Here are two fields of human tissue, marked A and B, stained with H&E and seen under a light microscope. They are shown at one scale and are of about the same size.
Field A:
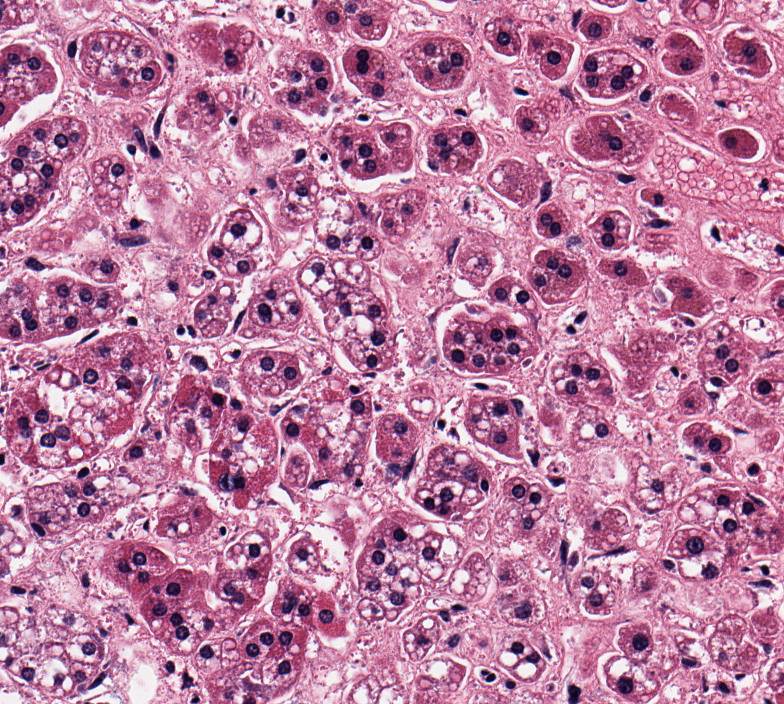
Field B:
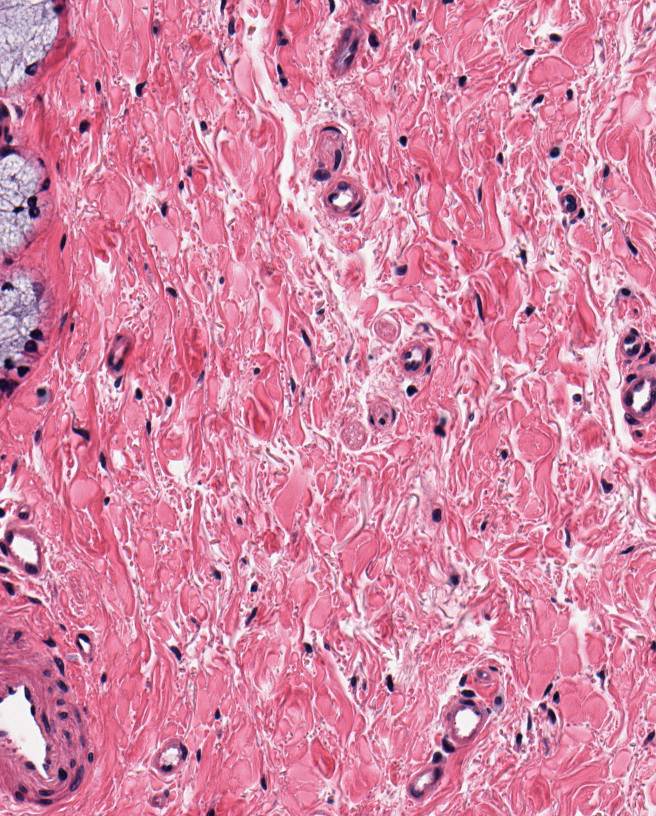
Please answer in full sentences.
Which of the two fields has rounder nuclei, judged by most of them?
The nuclei are rounder in field A.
